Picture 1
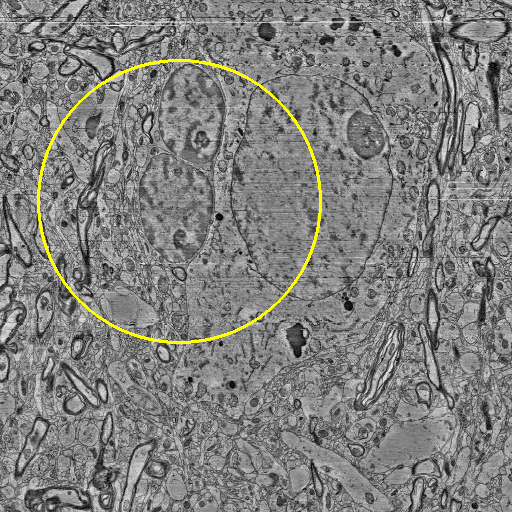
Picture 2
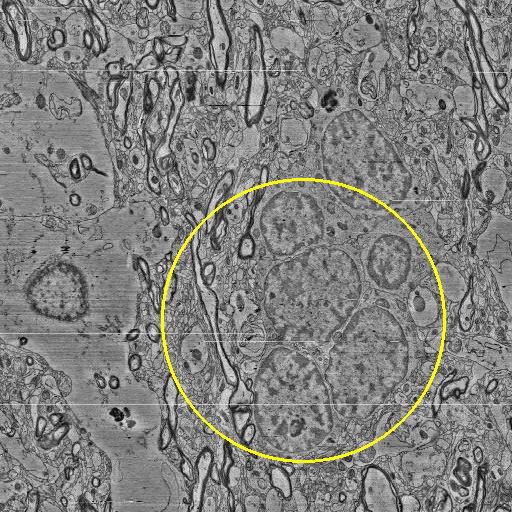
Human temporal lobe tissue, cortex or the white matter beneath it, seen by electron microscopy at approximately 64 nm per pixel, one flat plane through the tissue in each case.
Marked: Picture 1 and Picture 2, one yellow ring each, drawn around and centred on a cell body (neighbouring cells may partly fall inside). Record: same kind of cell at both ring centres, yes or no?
yes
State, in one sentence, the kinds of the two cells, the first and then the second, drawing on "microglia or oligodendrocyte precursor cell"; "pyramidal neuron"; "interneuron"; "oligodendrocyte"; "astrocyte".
In each of the two pictures, the ringed cell is an oligodendrocyte.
